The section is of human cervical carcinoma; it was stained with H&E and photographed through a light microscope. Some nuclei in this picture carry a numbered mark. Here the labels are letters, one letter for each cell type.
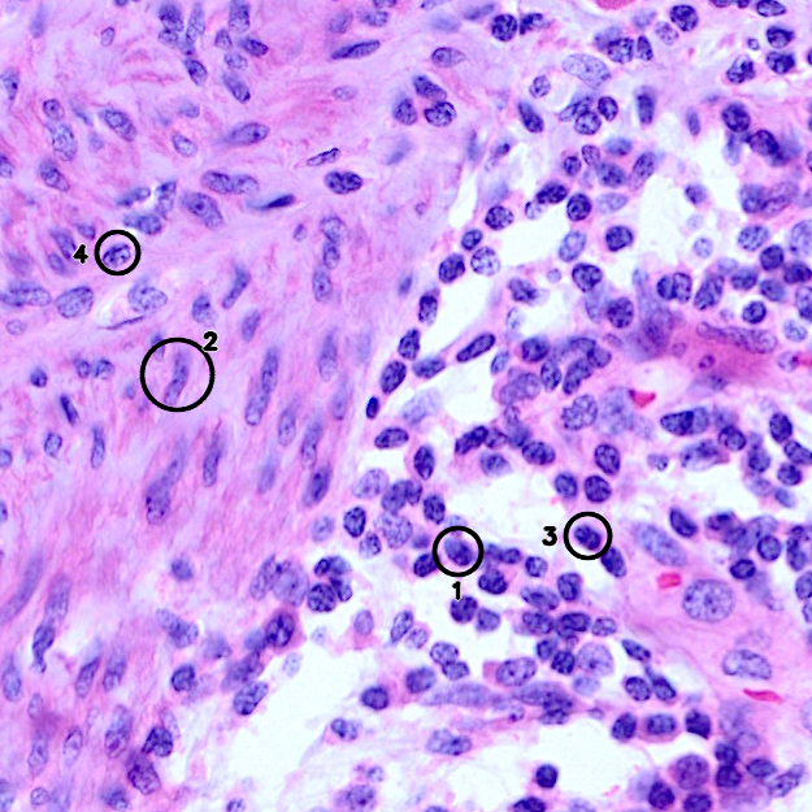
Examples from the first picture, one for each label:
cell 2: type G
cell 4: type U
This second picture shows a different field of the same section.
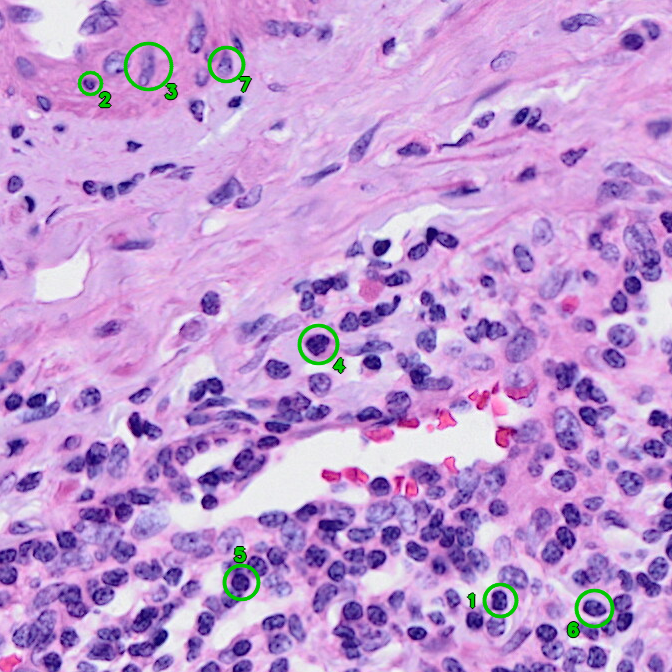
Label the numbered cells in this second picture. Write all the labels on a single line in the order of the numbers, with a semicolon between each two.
type U; type G; type G; type U; type U; type U; type G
